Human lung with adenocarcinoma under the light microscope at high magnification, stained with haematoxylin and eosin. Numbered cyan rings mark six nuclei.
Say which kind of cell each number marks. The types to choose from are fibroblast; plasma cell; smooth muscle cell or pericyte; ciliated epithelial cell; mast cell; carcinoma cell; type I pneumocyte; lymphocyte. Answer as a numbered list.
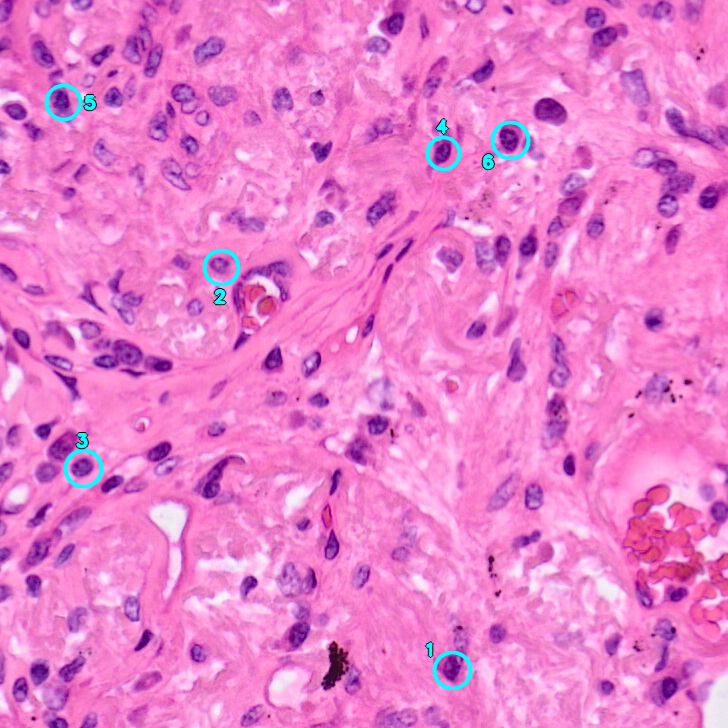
1. plasma cell
2. mast cell
3. lymphocyte
4. plasma cell
5. lymphocyte
6. plasma cell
